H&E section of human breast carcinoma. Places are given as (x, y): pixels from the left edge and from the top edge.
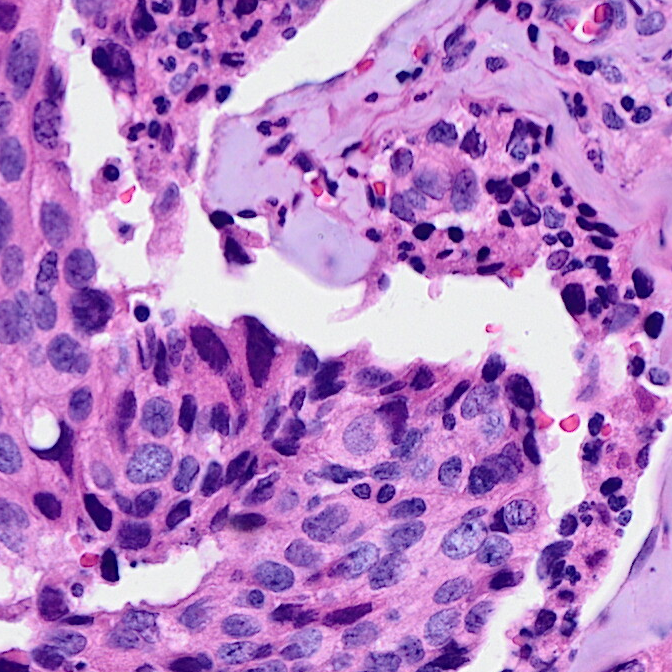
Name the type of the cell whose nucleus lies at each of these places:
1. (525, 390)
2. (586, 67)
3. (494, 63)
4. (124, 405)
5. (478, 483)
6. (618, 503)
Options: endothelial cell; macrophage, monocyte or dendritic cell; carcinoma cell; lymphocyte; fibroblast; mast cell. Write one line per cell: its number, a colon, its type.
1: carcinoma cell
2: lymphocyte
3: mast cell
4: carcinoma cell
5: carcinoma cell
6: lymphocyte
